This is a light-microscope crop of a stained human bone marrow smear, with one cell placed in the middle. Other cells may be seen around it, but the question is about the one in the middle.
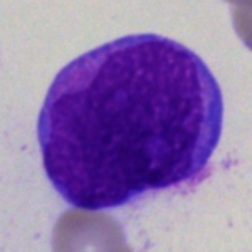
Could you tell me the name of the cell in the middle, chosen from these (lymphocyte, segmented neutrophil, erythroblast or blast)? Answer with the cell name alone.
blast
